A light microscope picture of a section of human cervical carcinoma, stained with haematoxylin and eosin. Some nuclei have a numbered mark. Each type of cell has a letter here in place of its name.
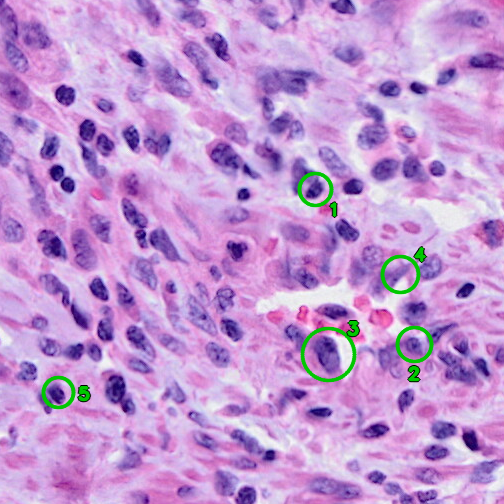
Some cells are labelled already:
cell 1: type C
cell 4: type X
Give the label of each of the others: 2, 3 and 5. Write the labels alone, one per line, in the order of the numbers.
type X
type X
type C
